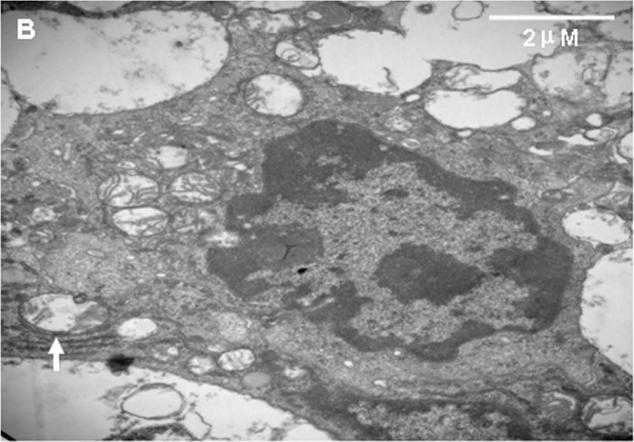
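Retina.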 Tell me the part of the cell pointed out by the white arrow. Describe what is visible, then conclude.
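Autophagosomes. The arrow points to a round membrane-bound vacuole containing membranous material. Many similar vacuoles lie in the cytoplasm around an irregular nucleus.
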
